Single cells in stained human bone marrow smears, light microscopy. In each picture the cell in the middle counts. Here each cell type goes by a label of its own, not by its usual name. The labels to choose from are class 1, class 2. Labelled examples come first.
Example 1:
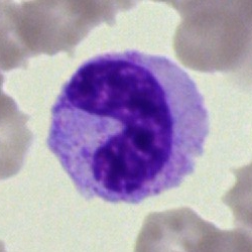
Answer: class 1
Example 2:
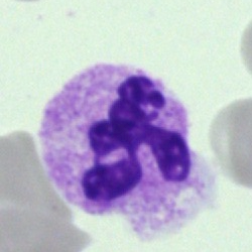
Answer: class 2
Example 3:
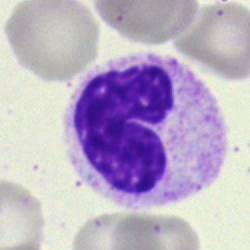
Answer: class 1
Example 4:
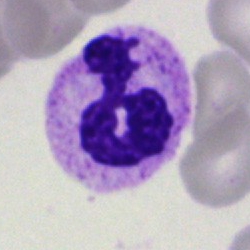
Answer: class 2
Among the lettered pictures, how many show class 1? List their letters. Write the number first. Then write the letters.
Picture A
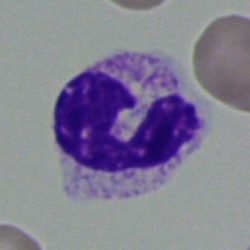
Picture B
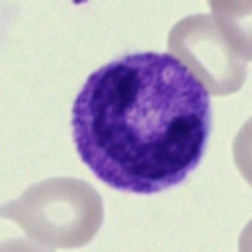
2, namely A, B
